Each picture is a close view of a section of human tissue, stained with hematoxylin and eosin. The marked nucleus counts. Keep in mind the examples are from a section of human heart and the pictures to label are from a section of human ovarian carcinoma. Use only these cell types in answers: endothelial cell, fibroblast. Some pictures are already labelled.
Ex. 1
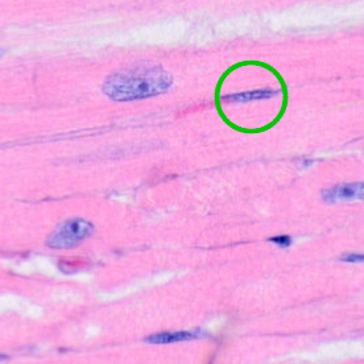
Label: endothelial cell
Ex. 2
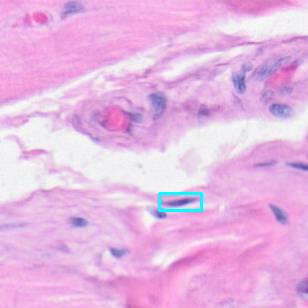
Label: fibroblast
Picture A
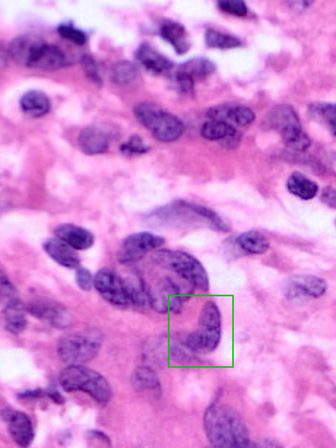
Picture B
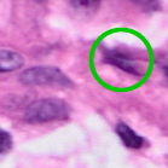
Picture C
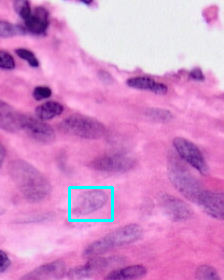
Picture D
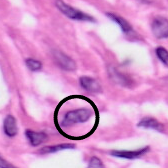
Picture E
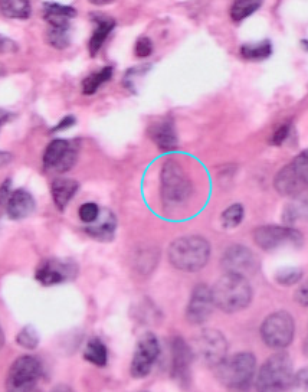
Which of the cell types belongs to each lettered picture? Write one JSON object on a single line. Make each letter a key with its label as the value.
{"A": "endothelial cell", "B": "endothelial cell", "C": "fibroblast", "D": "fibroblast", "E": "endothelial cell"}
